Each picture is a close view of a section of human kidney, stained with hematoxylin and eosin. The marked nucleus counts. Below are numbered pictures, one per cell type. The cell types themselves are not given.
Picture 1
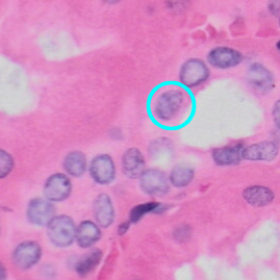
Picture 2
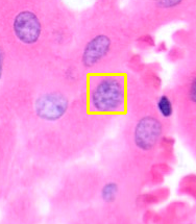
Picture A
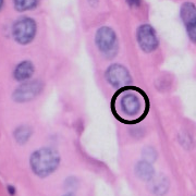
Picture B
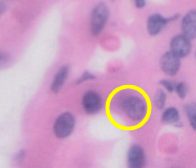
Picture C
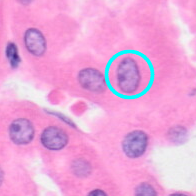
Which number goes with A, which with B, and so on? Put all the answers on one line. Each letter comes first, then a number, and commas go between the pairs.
A 1, B 1, C 2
